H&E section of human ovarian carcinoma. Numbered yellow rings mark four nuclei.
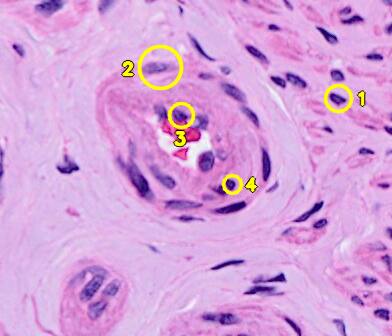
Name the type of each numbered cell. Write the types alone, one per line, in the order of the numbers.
smooth muscle cell
smooth muscle cell
endothelial cell
smooth muscle cell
